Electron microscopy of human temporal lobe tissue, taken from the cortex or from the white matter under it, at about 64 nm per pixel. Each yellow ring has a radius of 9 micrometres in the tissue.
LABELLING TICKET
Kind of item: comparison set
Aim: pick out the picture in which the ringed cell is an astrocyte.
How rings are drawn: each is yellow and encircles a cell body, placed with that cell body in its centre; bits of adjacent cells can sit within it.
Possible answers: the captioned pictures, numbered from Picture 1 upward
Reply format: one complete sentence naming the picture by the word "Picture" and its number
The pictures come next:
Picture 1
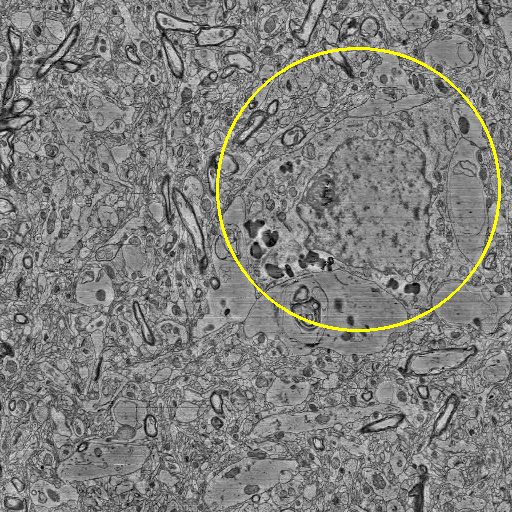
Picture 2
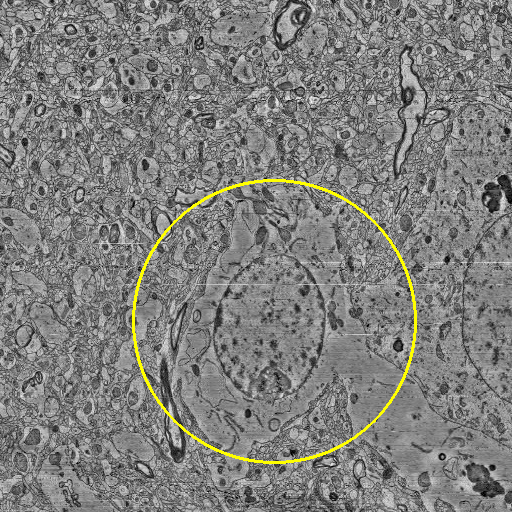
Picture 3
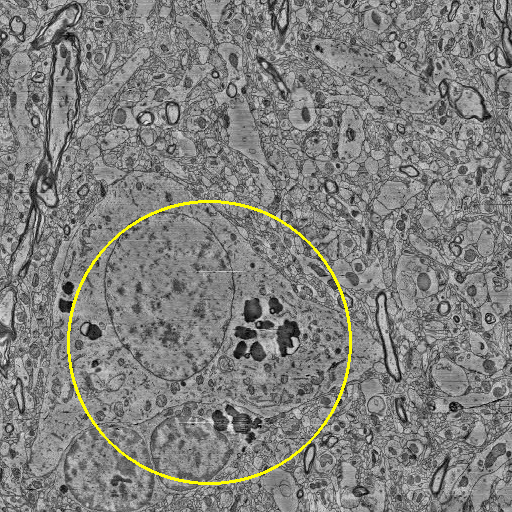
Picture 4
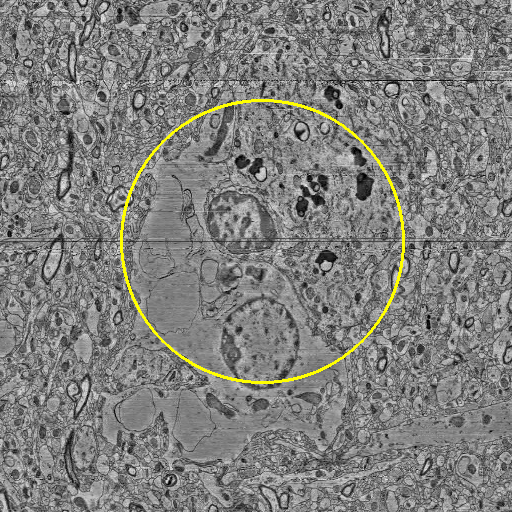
The cell centred inside the yellow ring in Picture 2 is the requested one.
